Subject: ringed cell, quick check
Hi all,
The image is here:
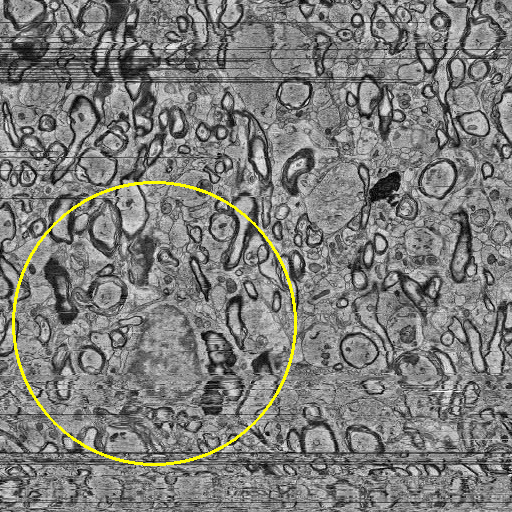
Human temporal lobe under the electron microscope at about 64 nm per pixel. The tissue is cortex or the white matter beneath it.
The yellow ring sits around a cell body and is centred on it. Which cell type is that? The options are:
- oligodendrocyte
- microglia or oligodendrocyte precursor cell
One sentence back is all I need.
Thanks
That ringed cell is an oligodendrocyte.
